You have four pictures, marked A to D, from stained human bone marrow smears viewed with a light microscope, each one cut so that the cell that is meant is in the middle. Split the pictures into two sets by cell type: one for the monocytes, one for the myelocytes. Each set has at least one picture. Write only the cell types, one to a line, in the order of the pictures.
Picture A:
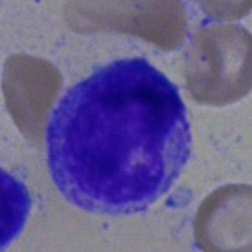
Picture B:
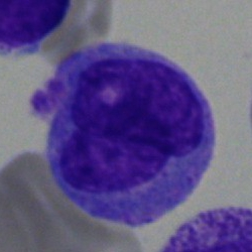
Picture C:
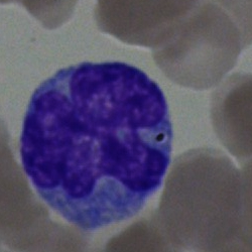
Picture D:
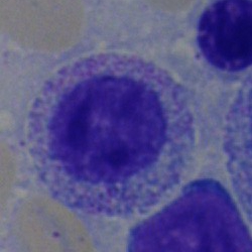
myelocyte
monocyte
monocyte
myelocyte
